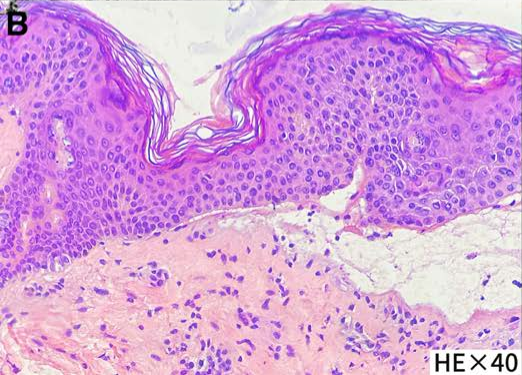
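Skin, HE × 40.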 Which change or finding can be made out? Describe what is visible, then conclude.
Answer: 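A pale, clear space separates the base of the epidermis from the underlying dermis. The epidermis above the space is intact and lifted off the pink connective tissue.
Subepidermal bulla.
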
